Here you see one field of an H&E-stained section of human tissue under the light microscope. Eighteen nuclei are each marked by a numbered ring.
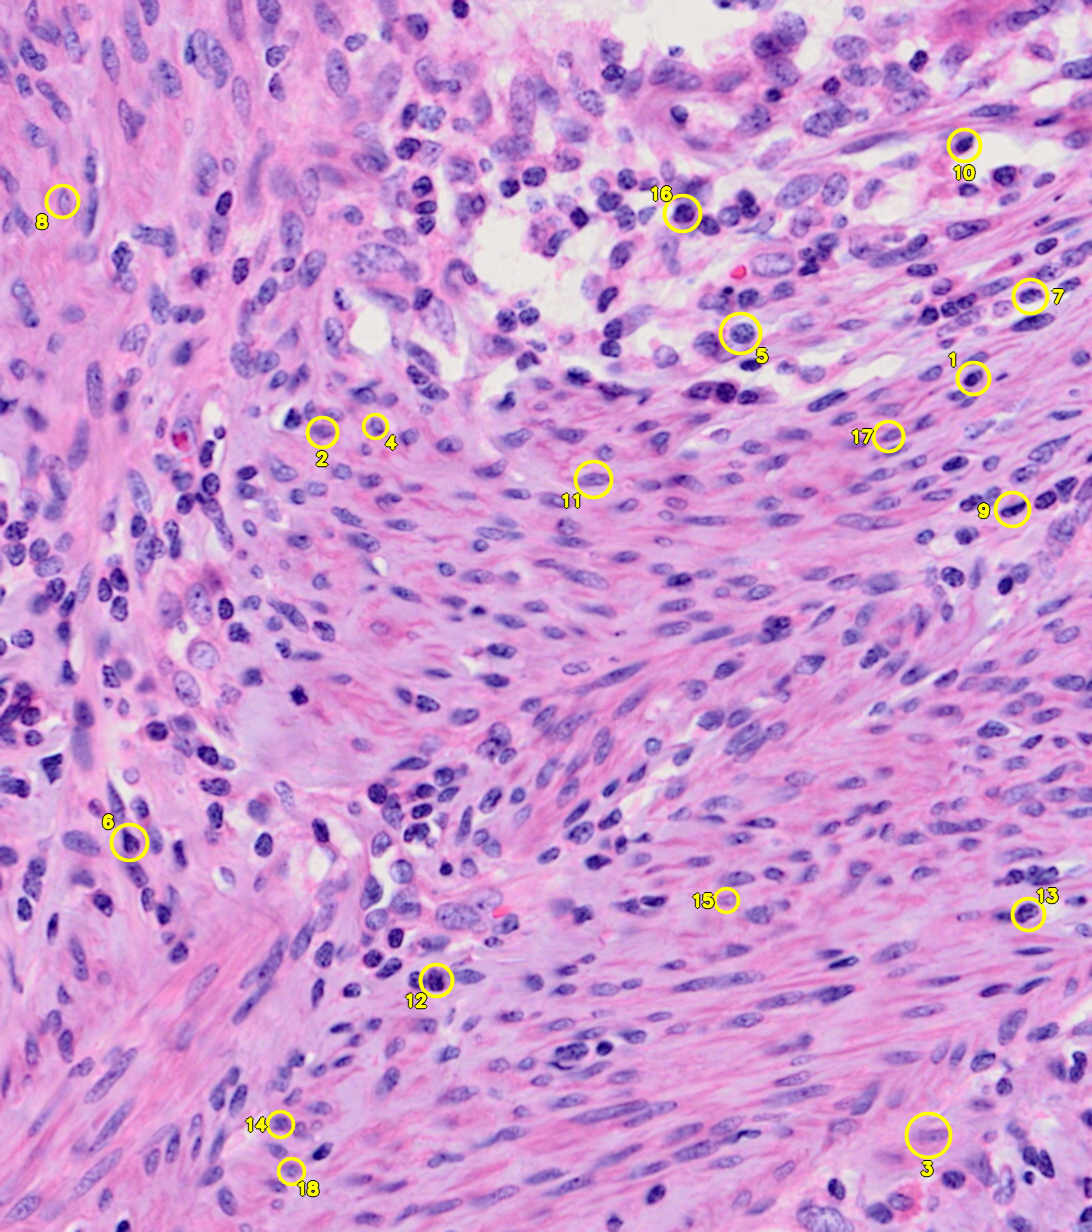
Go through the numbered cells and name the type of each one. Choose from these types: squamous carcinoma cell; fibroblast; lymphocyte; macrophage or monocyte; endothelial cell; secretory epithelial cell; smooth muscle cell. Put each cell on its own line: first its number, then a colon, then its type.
1: lymphocyte
2: smooth muscle cell
3: smooth muscle cell
4: smooth muscle cell
5: lymphocyte
6: lymphocyte
7: lymphocyte
8: smooth muscle cell
9: lymphocyte
10: lymphocyte
11: smooth muscle cell
12: lymphocyte
13: lymphocyte
14: smooth muscle cell
15: smooth muscle cell
16: lymphocyte
17: smooth muscle cell
18: smooth muscle cell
